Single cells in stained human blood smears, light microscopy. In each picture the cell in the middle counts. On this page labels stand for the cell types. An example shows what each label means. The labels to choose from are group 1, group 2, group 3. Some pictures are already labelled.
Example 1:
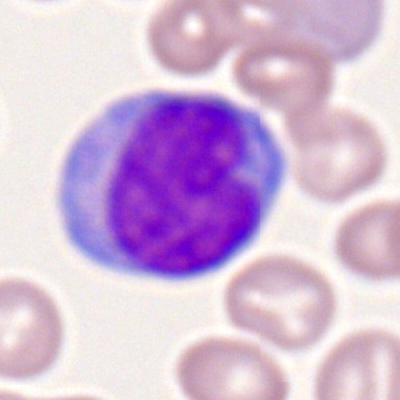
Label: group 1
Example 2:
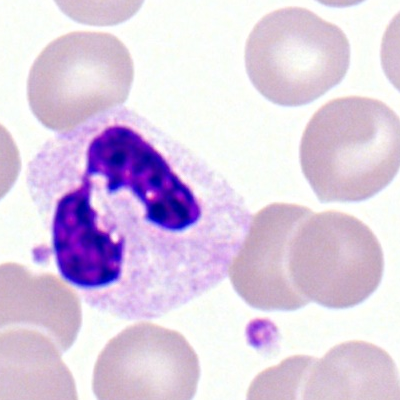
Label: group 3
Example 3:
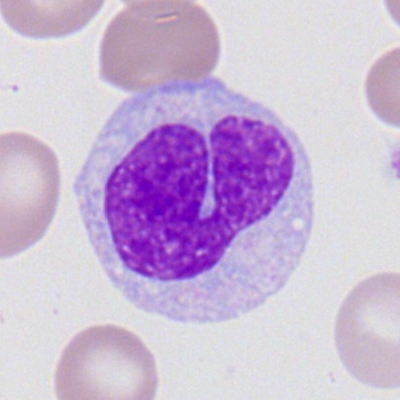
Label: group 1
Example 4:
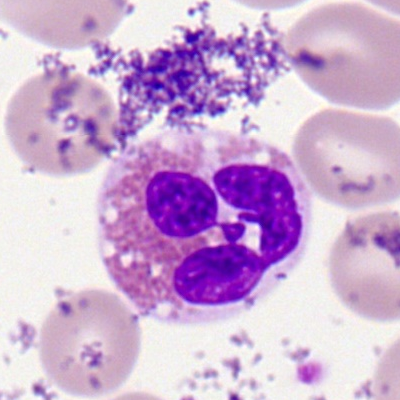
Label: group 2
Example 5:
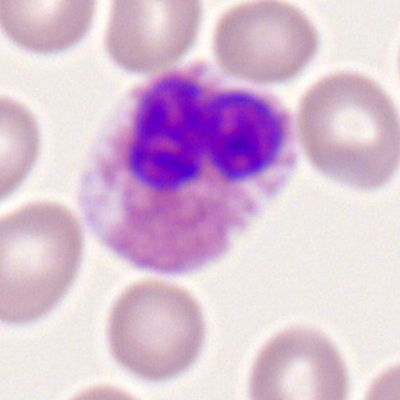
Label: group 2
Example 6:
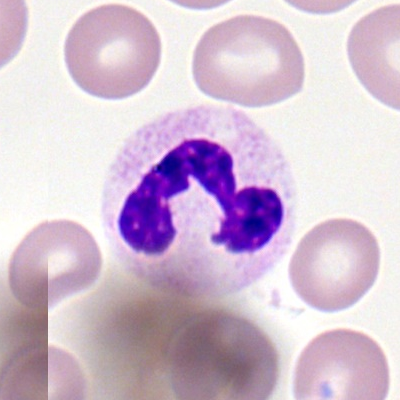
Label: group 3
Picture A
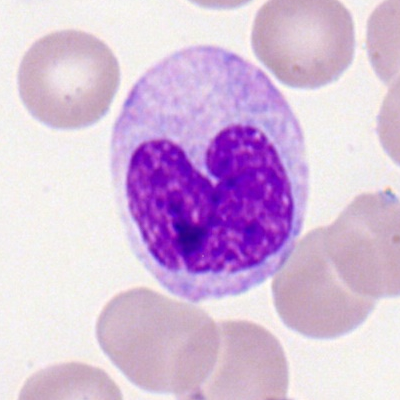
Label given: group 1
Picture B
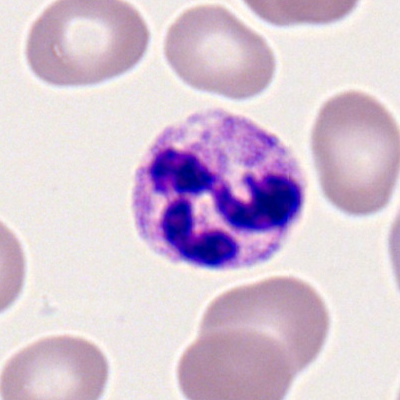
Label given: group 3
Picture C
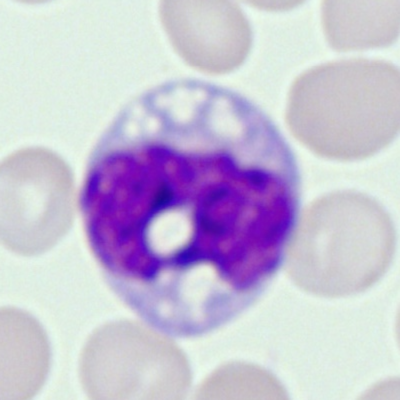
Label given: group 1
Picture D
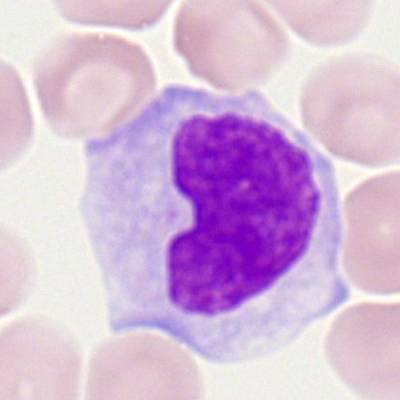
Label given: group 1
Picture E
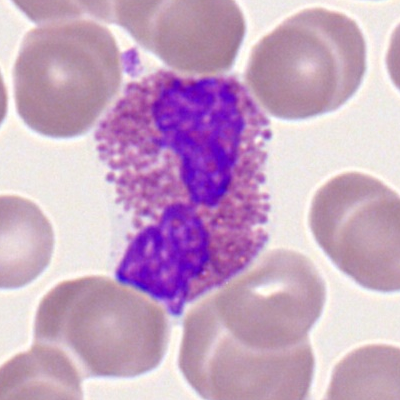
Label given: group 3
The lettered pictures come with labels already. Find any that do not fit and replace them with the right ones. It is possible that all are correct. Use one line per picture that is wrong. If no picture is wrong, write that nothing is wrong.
E: not group 3 but group 2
